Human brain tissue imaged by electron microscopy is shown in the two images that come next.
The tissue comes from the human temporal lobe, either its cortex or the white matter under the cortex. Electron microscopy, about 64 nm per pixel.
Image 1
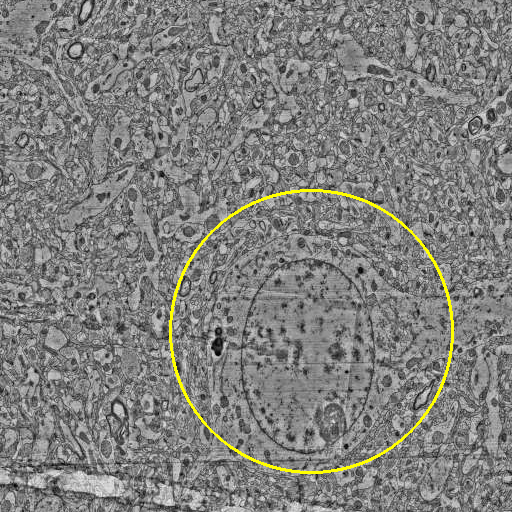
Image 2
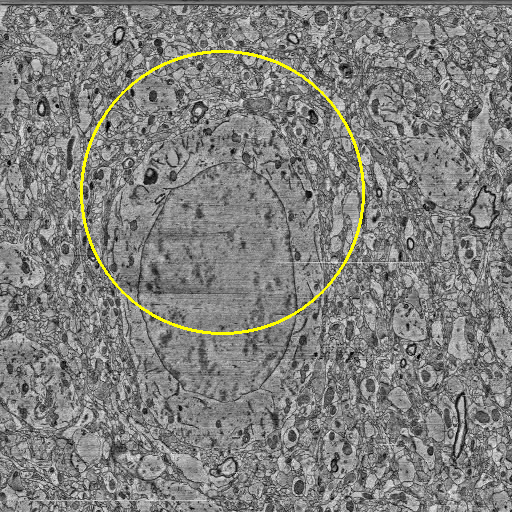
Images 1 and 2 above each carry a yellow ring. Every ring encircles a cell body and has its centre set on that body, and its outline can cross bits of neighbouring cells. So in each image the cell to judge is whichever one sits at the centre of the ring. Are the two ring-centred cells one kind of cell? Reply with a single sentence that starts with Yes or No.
Yes, in Image 1 and Image 2 the cells at the centres of their rings fall into one type.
